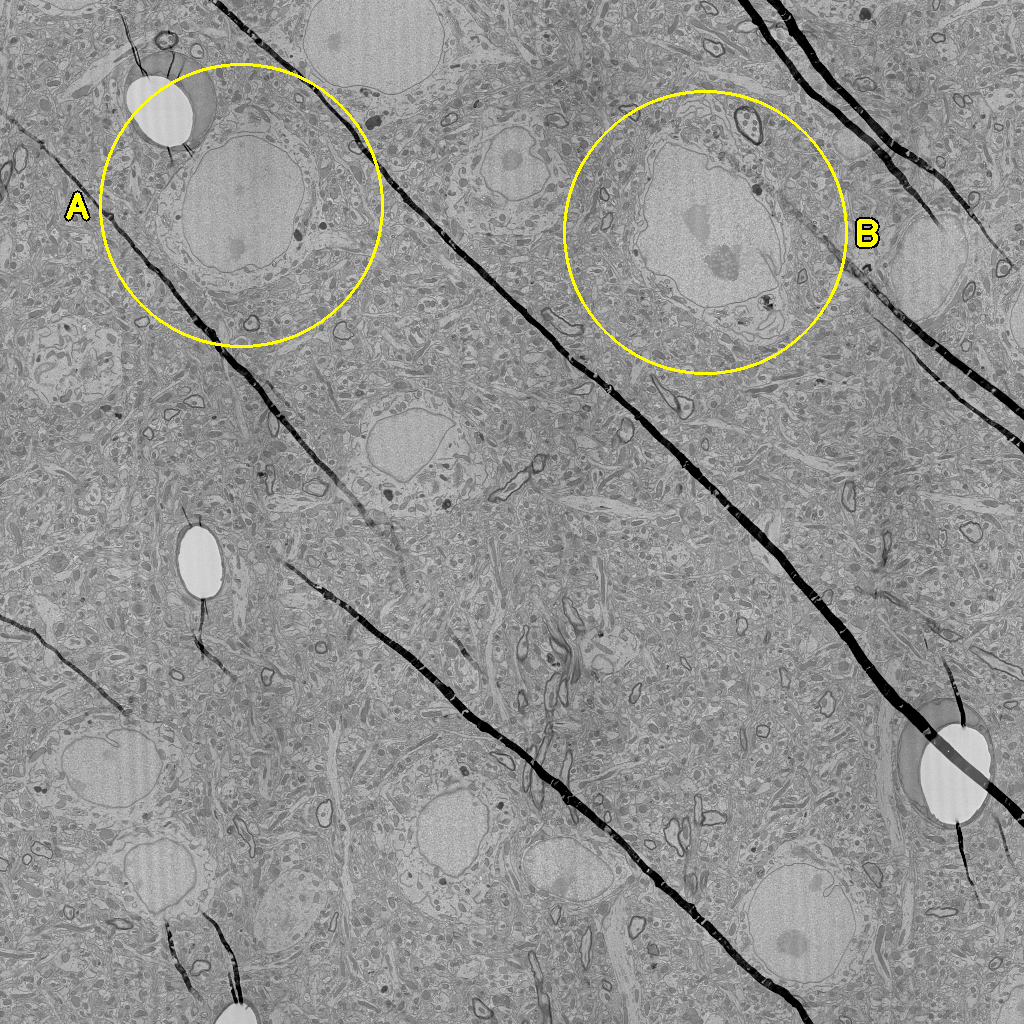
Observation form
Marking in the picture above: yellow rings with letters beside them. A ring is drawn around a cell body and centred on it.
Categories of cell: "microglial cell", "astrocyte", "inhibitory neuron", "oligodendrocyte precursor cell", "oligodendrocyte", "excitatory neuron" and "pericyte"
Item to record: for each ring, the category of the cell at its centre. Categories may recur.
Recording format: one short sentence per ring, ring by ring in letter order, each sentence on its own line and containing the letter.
Ring A is placed on an excitatory neuron.
Ring B is placed on an inhibitory neuron.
